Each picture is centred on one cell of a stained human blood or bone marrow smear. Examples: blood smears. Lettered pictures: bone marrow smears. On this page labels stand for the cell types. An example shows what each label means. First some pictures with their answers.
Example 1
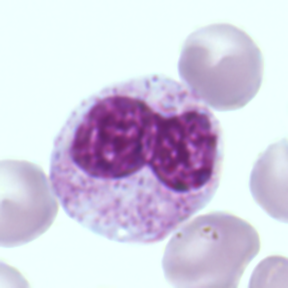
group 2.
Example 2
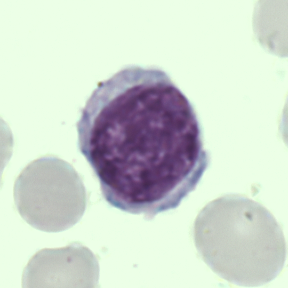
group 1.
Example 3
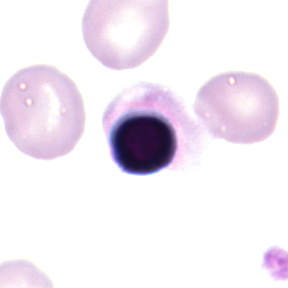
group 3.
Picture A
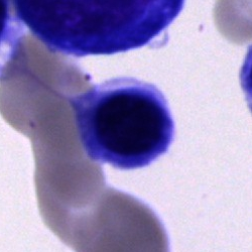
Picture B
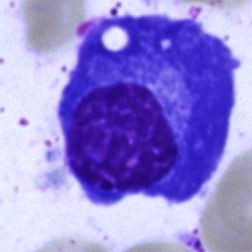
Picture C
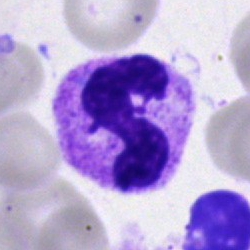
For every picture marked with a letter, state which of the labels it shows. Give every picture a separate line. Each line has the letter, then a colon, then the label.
A: group 3.
B: group 1.
C: group 2.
